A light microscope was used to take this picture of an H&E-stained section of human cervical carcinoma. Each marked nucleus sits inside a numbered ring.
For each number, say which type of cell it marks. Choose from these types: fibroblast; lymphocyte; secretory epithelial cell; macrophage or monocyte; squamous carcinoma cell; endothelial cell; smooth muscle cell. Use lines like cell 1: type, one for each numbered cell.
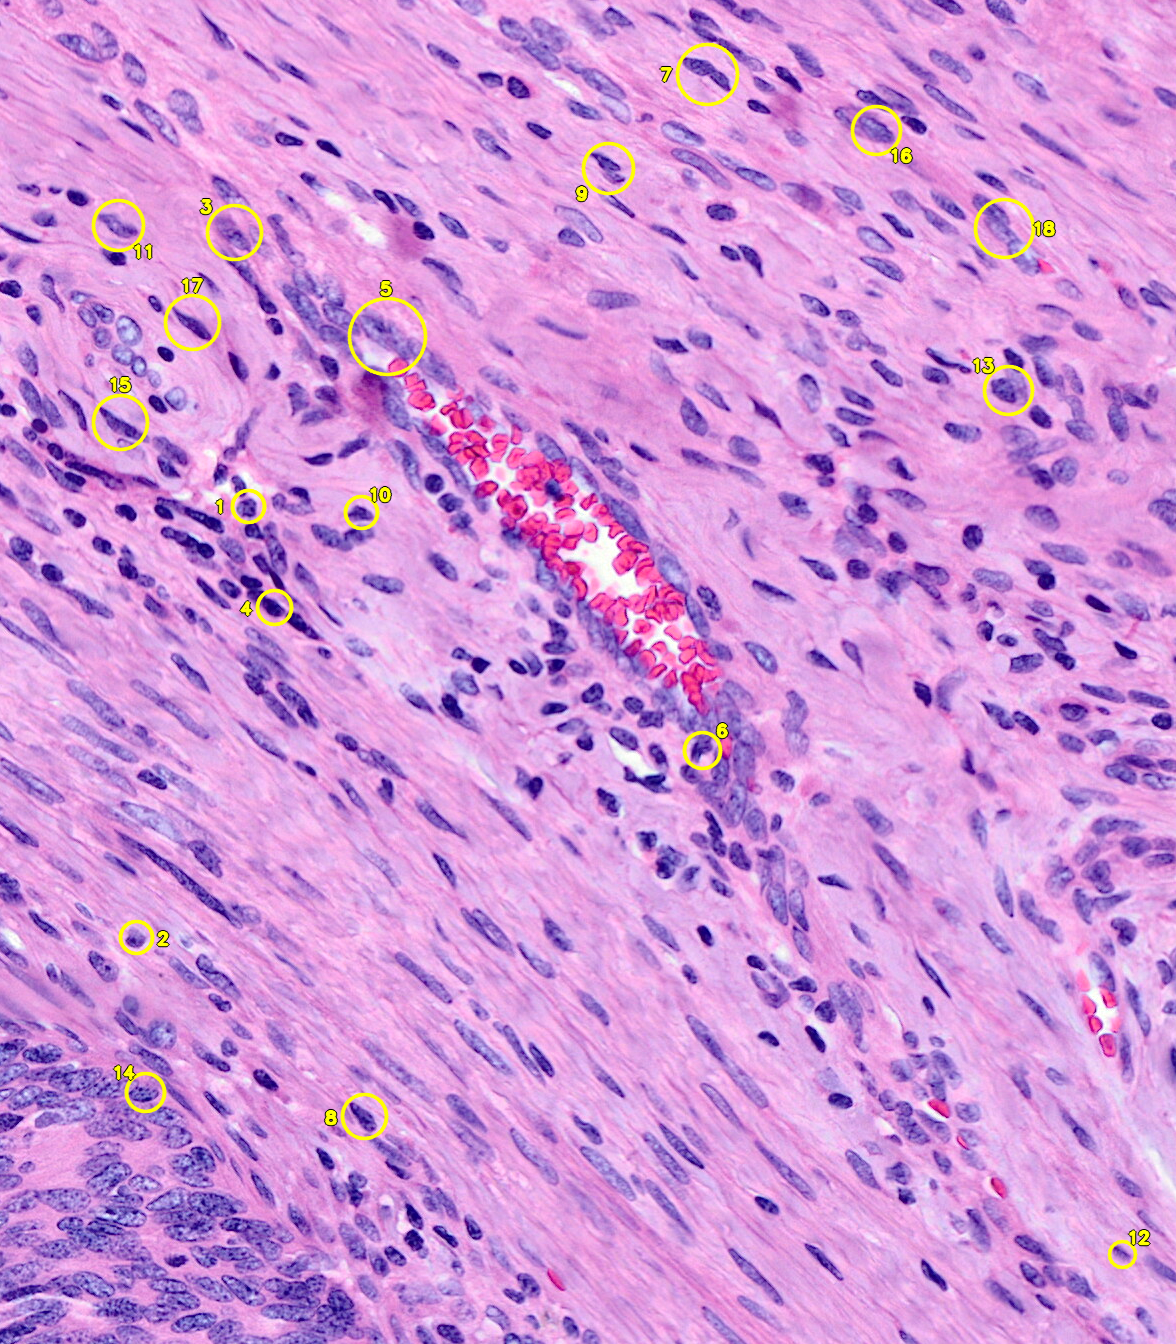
cell 1: lymphocyte
cell 2: lymphocyte
cell 3: smooth muscle cell
cell 4: lymphocyte
cell 5: endothelial cell
cell 6: endothelial cell
cell 7: fibroblast
cell 8: lymphocyte
cell 9: fibroblast
cell 10: fibroblast
cell 11: fibroblast
cell 12: smooth muscle cell
cell 13: fibroblast
cell 14: squamous carcinoma cell
cell 15: fibroblast
cell 16: endothelial cell
cell 17: fibroblast
cell 18: endothelial cell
